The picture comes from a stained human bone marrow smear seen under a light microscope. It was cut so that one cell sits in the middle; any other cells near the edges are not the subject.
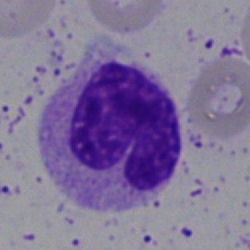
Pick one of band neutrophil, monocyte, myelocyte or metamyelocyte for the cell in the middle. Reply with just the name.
band neutrophil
